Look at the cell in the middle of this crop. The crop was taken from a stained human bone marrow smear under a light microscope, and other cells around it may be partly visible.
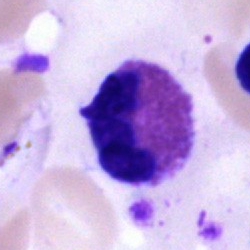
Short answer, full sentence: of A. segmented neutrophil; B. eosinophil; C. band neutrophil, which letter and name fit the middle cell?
The one cell at the centre is an eosinophil, as correctly stated in option B.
